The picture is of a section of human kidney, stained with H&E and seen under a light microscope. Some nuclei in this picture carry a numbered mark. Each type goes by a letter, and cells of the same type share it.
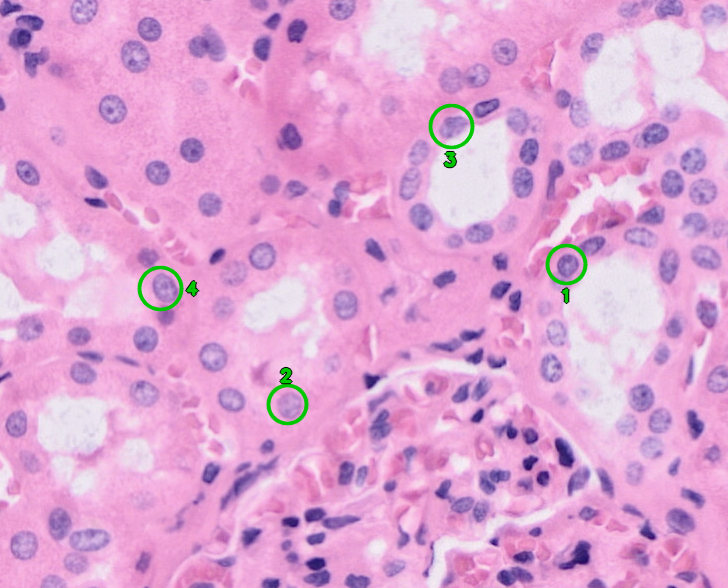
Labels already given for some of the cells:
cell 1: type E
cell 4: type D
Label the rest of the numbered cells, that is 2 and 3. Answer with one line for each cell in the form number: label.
2: type D
3: type E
